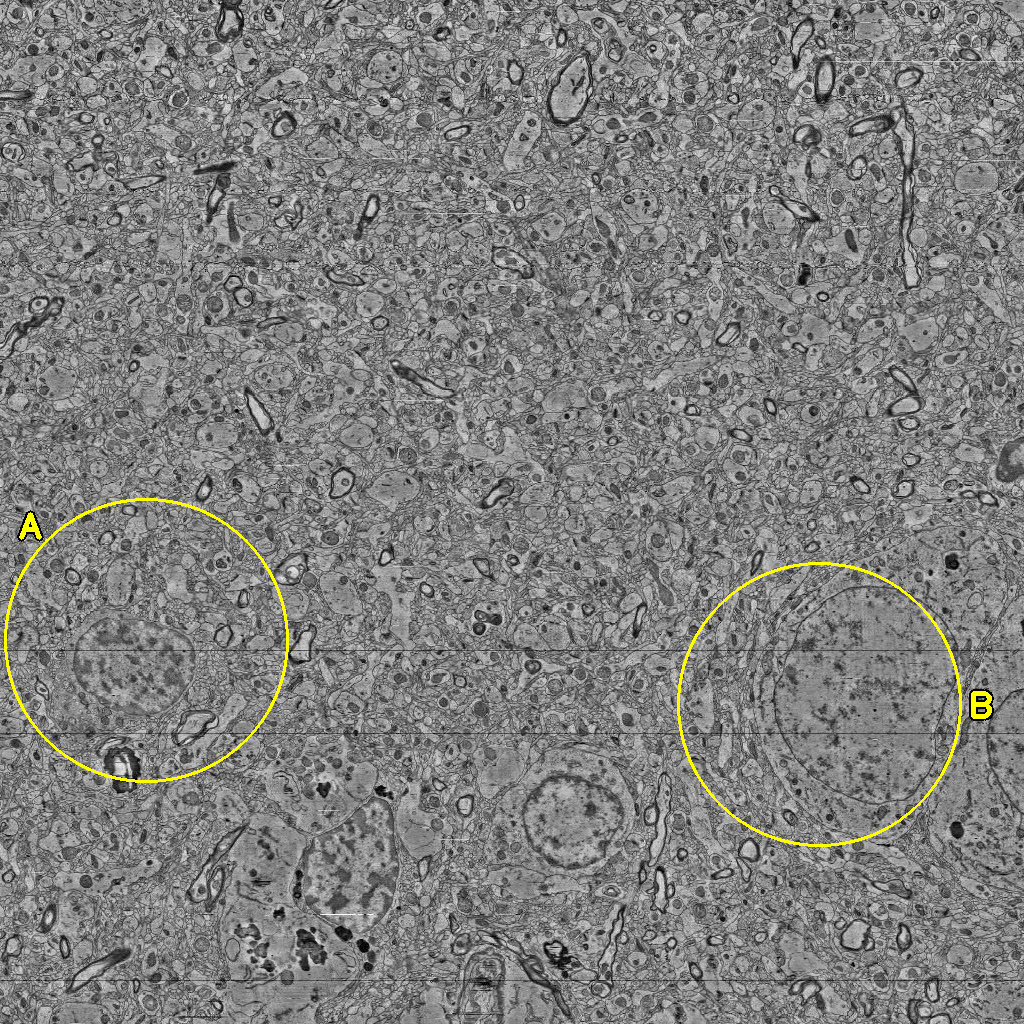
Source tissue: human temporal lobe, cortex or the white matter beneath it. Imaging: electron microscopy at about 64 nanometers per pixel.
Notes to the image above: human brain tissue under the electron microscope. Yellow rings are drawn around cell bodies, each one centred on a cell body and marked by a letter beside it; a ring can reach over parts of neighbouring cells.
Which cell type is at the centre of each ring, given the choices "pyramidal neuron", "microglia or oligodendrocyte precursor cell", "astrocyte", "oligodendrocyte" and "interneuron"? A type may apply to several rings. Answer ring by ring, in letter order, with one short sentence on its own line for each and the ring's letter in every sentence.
Inside ring A, at its centre, is an oligodendrocyte.
Inside ring B, at its centre, is a pyramidal neuron.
